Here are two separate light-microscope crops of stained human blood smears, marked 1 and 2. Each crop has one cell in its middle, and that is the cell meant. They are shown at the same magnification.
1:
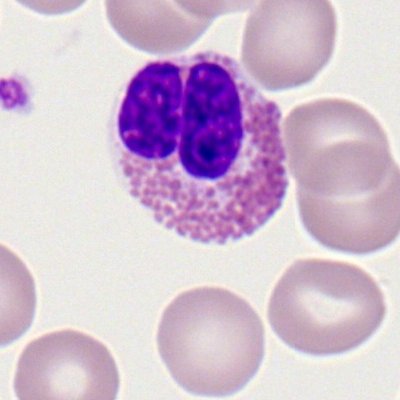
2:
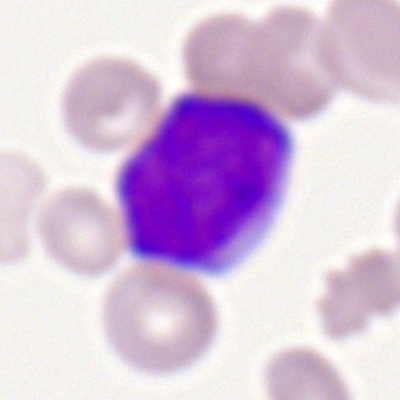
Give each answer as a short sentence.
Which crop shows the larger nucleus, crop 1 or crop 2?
Larger is the nucleus in crop 2, at roughly 1.5 times the area of the other.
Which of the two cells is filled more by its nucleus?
Of the two, the nucleus in crop 2 makes up the greater part of its cell.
